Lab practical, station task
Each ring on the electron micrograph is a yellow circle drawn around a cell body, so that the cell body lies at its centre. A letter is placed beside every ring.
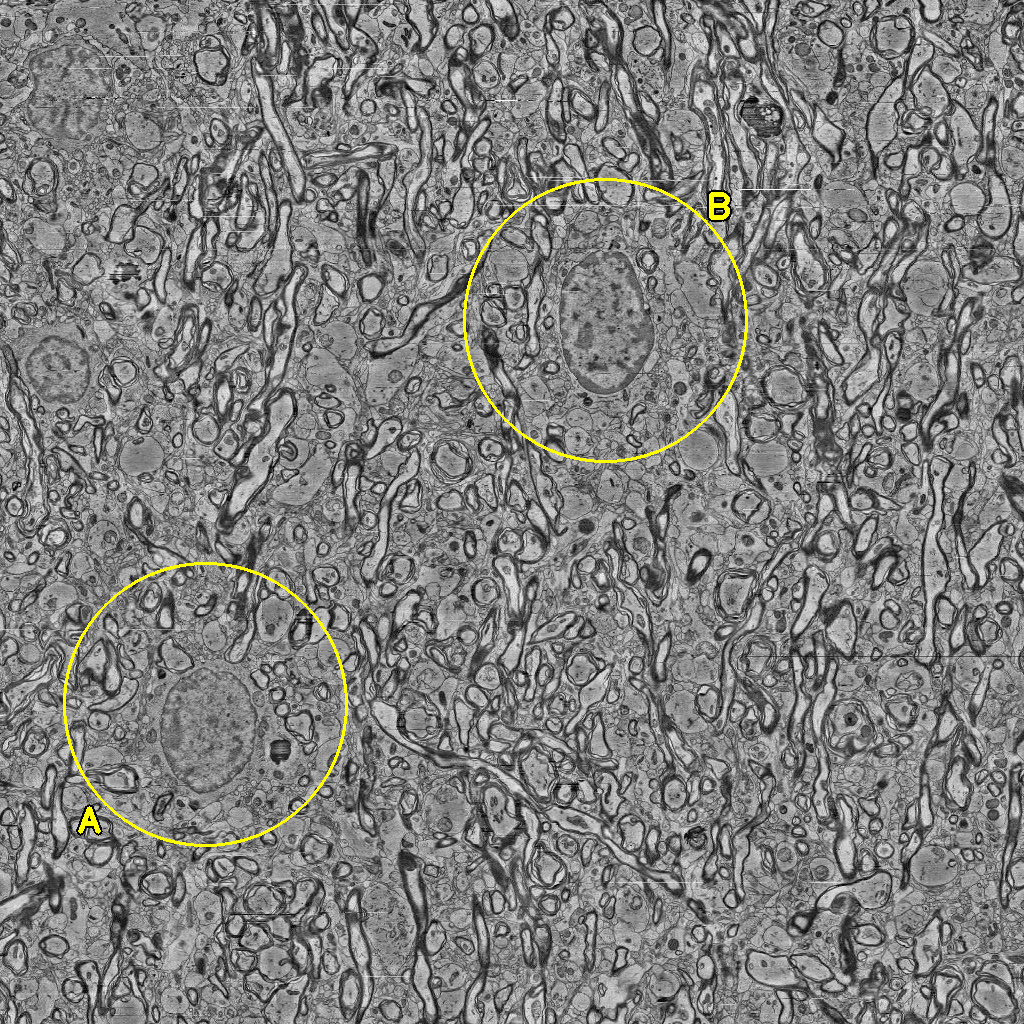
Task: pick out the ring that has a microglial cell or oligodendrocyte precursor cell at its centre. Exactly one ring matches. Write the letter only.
B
